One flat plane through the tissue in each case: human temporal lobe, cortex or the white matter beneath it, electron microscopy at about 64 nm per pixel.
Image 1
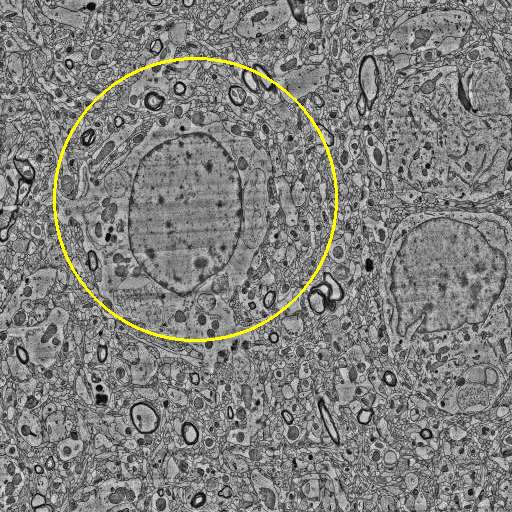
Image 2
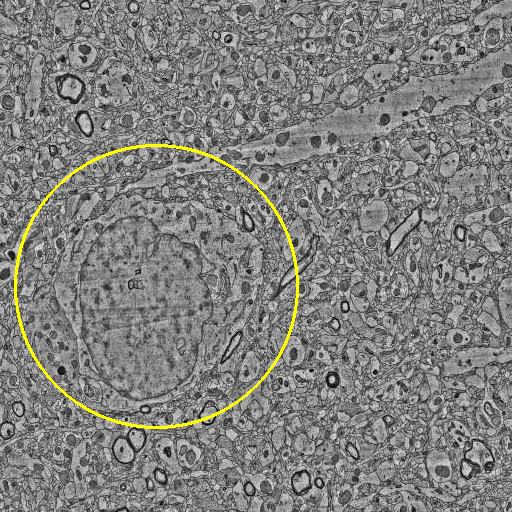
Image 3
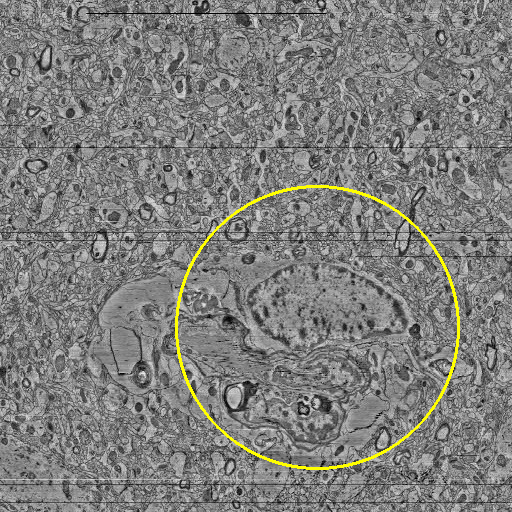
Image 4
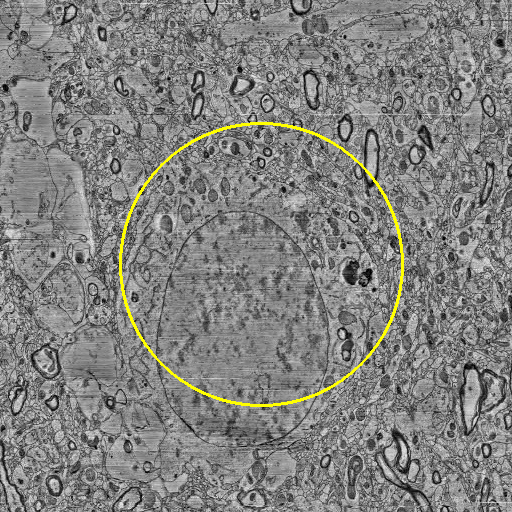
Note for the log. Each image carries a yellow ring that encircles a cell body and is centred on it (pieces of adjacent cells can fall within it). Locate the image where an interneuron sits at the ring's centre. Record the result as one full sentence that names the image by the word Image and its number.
Image 2 has the wanted cell sitting at the centre of its ring.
